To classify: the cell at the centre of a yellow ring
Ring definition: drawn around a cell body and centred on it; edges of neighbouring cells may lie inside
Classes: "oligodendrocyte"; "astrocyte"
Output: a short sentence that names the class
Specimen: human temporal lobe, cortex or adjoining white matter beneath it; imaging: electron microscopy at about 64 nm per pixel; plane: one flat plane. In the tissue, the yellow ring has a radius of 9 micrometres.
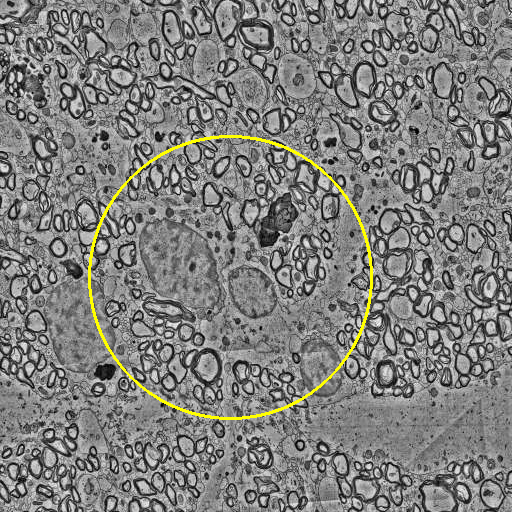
The ringed cell is an astrocyte.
